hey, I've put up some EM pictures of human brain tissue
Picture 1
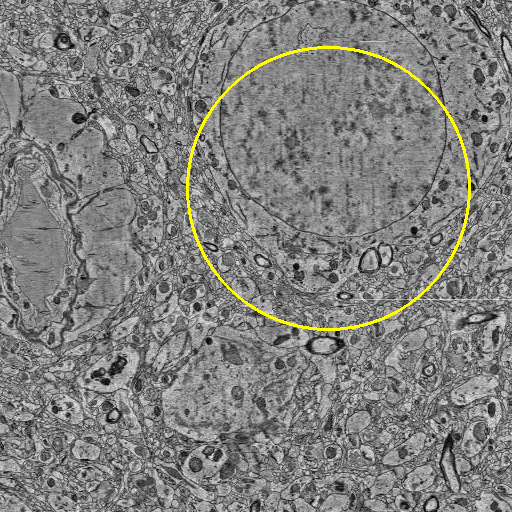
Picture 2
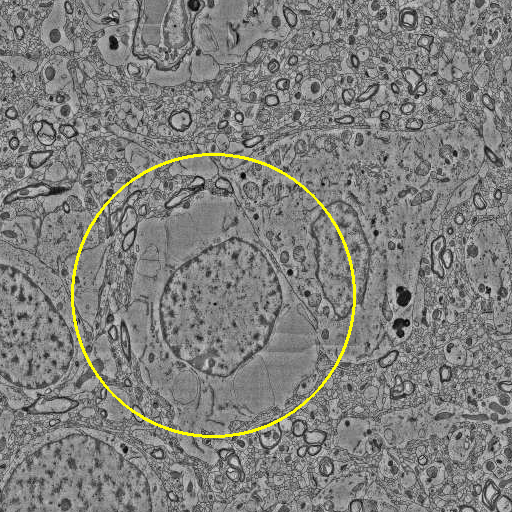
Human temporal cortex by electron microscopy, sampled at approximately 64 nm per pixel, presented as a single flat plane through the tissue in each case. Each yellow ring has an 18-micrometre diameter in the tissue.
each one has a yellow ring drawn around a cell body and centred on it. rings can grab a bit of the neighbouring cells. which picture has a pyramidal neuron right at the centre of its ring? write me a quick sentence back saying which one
It's Picture 1.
